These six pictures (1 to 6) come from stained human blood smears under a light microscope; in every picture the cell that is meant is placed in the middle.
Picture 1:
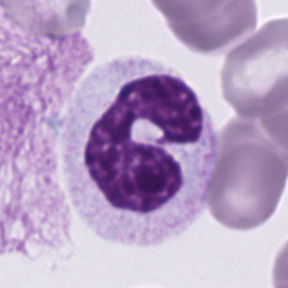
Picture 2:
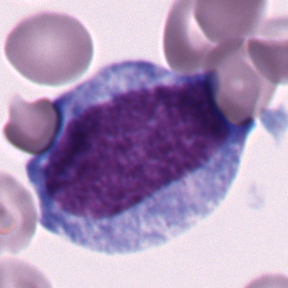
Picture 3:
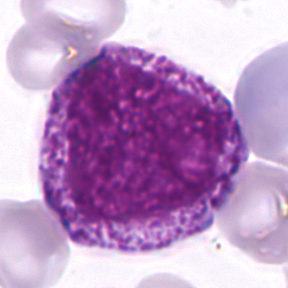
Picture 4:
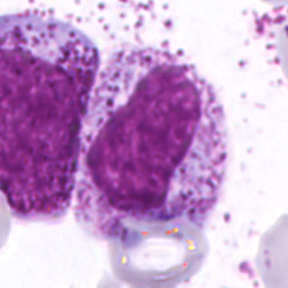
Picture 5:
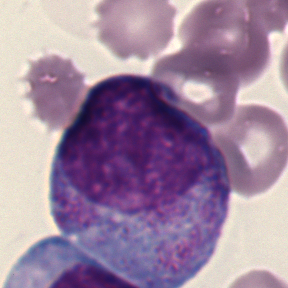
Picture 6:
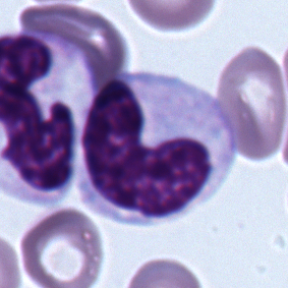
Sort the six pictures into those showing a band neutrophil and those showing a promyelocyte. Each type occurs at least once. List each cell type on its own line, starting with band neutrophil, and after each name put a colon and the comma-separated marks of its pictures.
band neutrophil: 1, 4, 6
promyelocyte: 2, 3, 5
